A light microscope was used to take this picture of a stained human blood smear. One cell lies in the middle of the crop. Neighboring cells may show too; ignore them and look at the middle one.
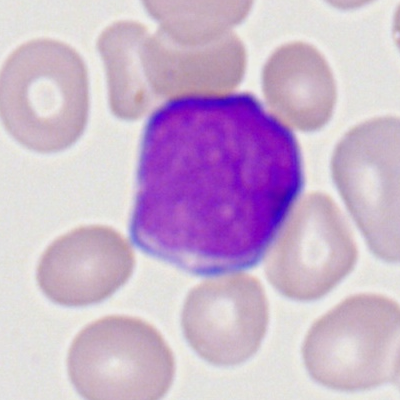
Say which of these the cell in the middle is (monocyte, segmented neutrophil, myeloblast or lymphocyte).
myeloblast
